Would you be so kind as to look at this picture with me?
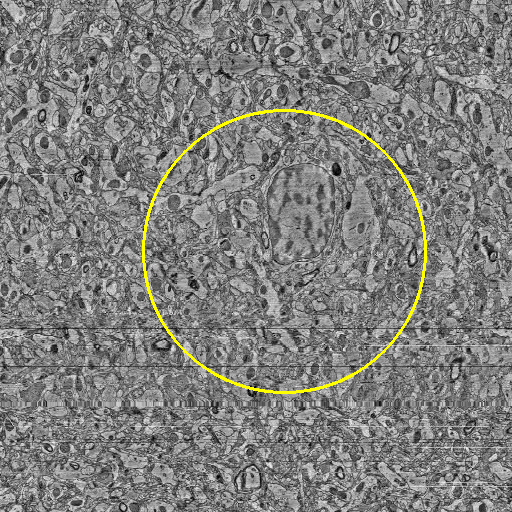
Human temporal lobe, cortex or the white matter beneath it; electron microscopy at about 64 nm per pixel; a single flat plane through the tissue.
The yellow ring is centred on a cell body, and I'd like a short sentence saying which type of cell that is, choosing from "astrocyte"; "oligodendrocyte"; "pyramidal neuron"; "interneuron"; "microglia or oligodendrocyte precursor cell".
The cell body in the ring belongs to a microglial cell or oligodendrocyte precursor cell.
